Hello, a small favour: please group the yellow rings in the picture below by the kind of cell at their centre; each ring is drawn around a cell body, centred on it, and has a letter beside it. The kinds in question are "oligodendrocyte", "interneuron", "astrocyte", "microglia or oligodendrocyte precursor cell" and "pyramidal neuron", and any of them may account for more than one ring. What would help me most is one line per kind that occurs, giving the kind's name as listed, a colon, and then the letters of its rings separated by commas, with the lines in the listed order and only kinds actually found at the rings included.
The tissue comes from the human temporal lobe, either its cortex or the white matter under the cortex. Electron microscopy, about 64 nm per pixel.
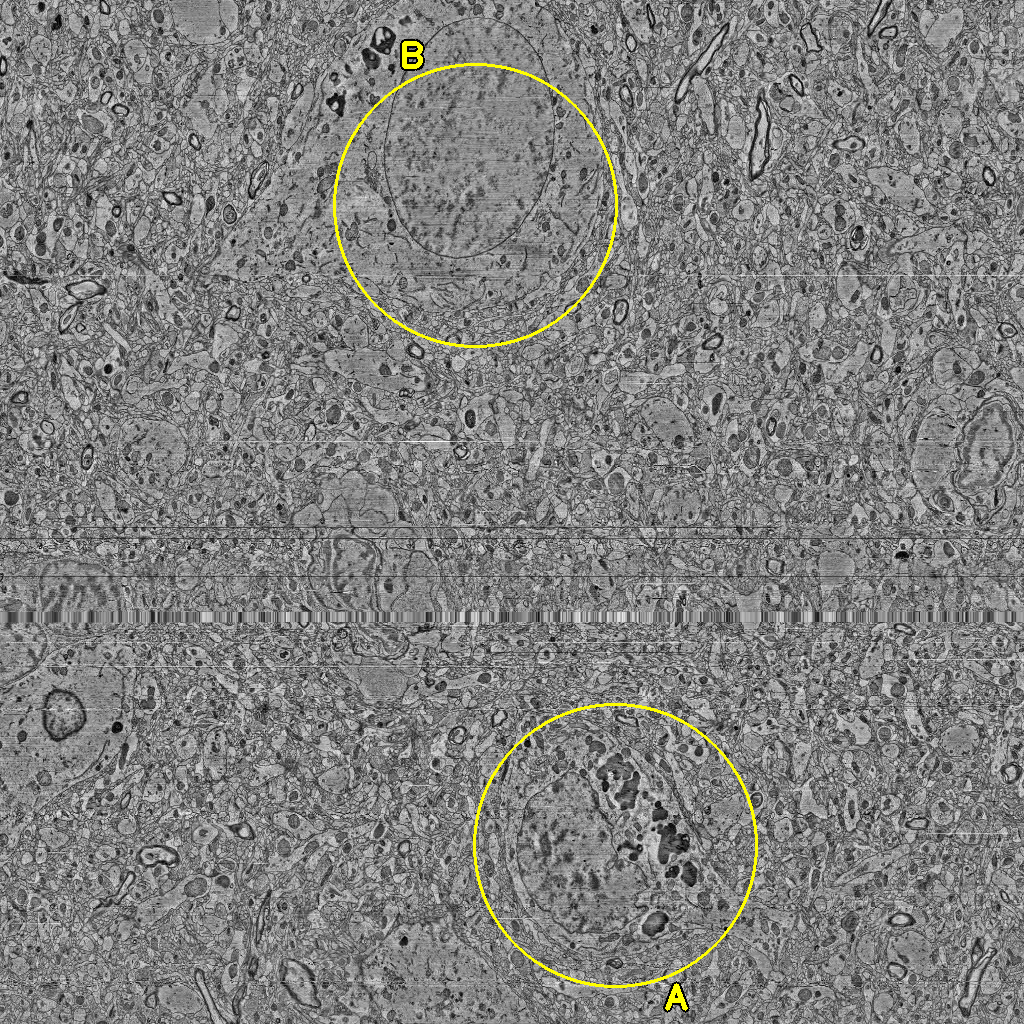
interneuron: A
pyramidal neuron: B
